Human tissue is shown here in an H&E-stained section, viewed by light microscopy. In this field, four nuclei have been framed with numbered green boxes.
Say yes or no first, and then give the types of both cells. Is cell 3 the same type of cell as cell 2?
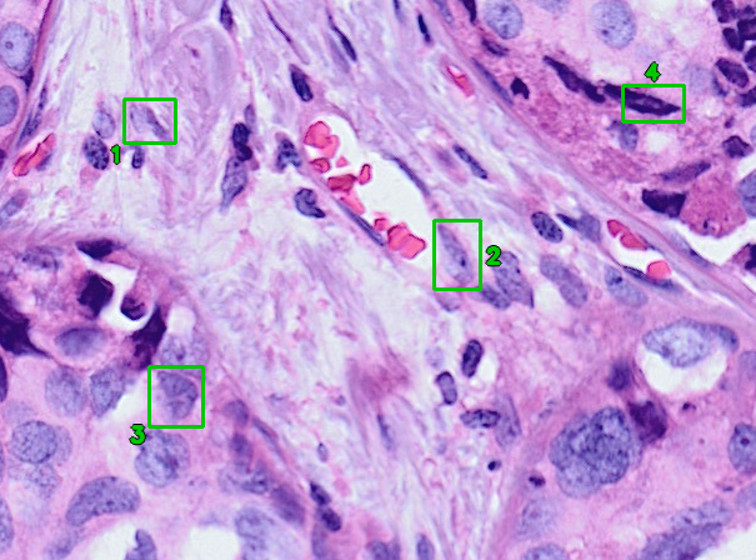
No, with respect, cell 3 is a carcinoma cell and cell 2 is an endothelial cell.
